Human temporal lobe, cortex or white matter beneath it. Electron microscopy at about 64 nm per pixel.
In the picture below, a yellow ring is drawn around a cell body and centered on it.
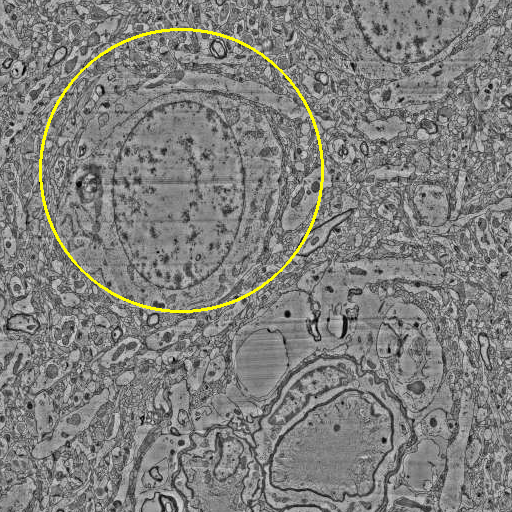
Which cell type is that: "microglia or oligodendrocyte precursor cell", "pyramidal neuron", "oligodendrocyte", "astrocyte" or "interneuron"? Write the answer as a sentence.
The cell centered in the ring is a pyramidal neuron.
